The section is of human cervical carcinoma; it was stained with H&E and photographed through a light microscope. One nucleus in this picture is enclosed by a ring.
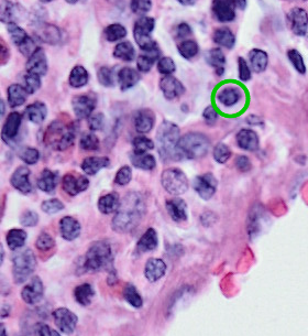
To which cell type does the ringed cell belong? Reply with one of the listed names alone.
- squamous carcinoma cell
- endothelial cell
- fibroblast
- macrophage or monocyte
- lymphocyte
lymphocyte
